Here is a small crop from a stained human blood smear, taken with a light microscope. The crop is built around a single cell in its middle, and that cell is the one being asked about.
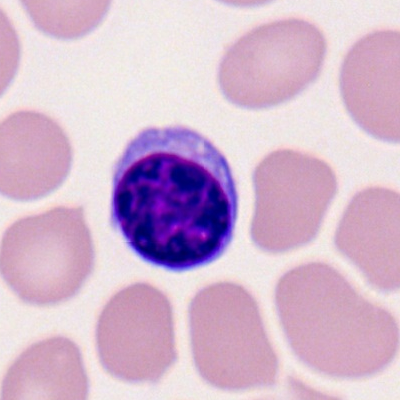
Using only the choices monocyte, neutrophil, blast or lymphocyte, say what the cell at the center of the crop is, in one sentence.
Present in the middle of the crop is a lymphocyte.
